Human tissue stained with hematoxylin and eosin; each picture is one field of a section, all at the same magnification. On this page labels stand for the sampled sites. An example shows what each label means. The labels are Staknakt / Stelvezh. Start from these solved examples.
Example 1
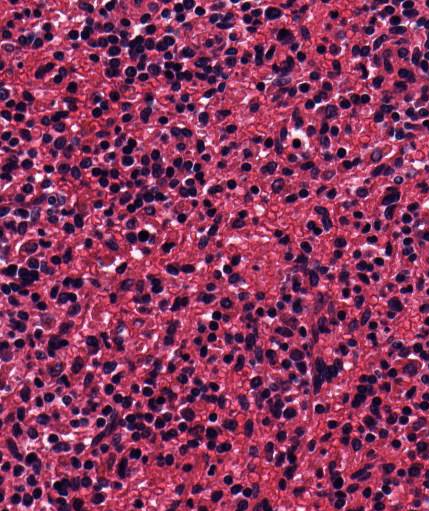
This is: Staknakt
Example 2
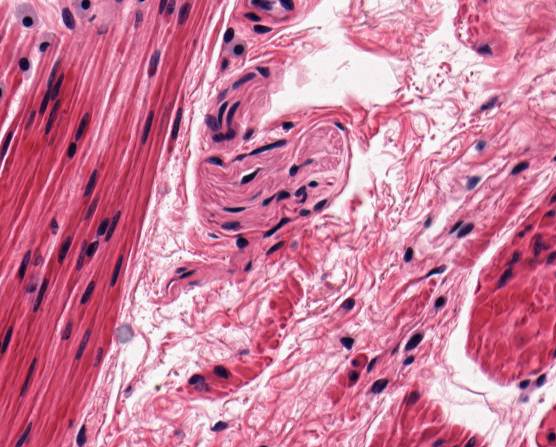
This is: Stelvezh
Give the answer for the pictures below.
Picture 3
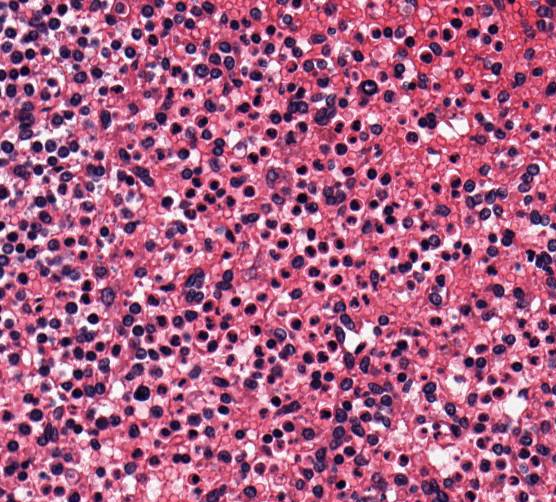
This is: Staknakt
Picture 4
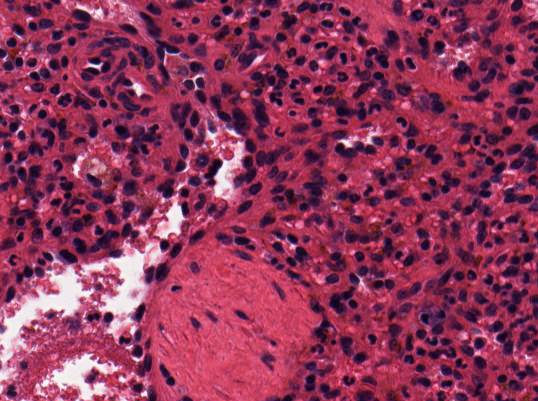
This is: Staknakt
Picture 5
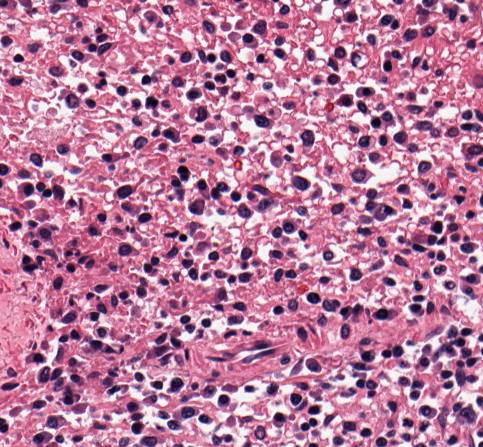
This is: Staknakt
